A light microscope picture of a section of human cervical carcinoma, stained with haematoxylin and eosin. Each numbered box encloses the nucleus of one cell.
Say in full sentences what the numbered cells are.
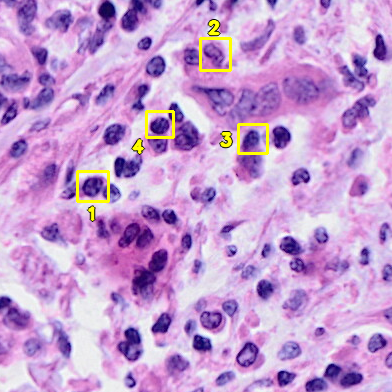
Cell 1 is a lymphocyte, cell 2 is a macrophage or monocyte, cell 3 is a lymphocyte and cell 4 is a lymphocyte.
